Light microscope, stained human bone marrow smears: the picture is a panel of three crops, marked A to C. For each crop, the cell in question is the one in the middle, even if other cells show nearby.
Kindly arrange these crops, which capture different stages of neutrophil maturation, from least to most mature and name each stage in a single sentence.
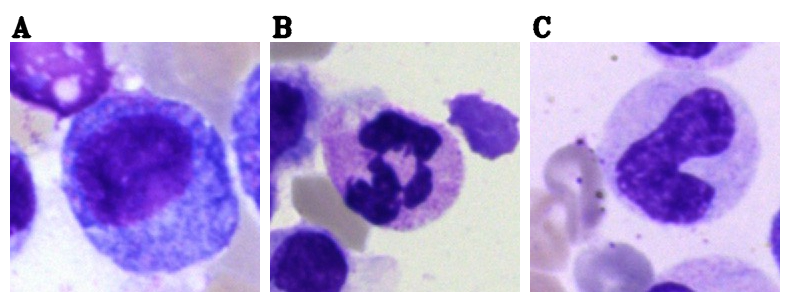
Arranged from least mature to most mature, the sequence reads crop A (a promyelocyte), crop C (a band neutrophil) and crop B (a segmented neutrophil).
